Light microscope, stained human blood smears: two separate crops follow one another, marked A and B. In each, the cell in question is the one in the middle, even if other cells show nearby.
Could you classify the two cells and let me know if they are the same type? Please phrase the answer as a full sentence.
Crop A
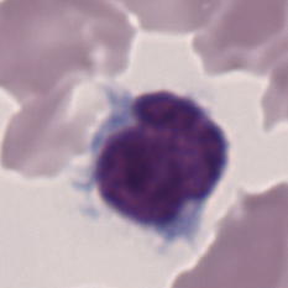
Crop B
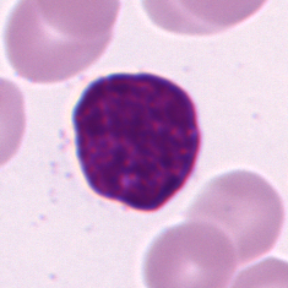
No, crop A corresponds to a hairy cell, while crop B corresponds to a smudge cell.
